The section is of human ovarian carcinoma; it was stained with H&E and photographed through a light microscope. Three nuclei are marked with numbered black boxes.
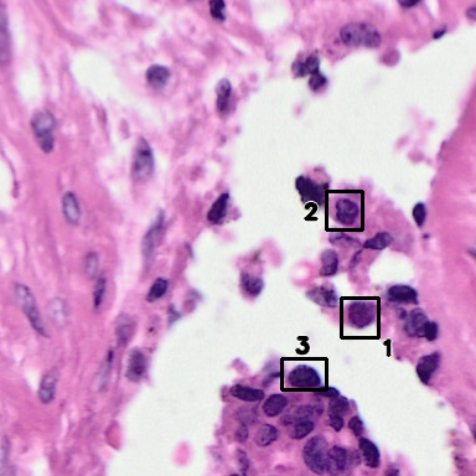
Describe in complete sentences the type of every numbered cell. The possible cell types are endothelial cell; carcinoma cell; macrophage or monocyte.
Cells 1 and 3 are carcinoma cells. Cell 2 is a macrophage or monocyte.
